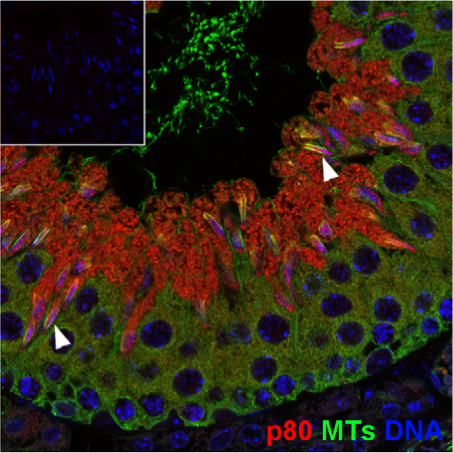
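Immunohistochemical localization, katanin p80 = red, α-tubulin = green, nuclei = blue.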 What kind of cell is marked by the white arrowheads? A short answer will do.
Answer: Elongating spermatids.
